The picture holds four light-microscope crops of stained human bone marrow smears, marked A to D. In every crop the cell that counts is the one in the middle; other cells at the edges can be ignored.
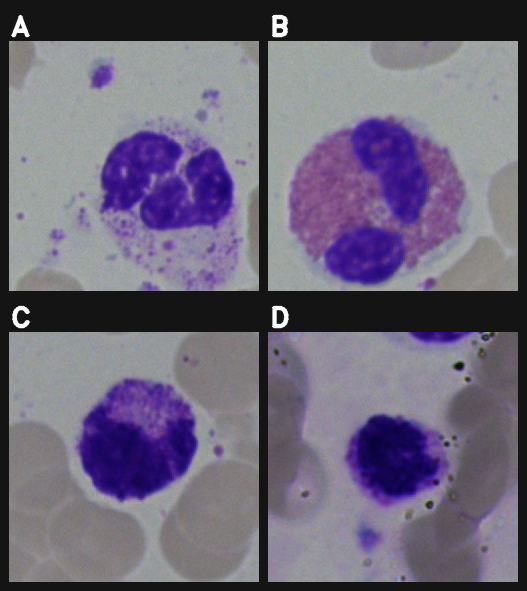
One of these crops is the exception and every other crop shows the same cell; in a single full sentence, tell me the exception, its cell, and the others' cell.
All the crops contain basophils save crop B, where there is an eosinophil.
